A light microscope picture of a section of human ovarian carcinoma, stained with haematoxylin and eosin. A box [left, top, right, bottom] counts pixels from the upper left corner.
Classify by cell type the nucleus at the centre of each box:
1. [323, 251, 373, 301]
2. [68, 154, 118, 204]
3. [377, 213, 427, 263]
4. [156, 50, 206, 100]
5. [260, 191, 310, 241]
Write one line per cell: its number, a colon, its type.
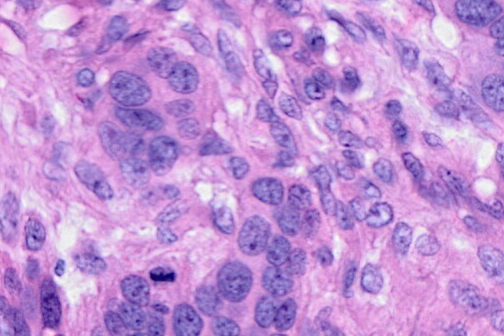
1: fibroblast
2: fibroblast
3: fibroblast
4: carcinoma cell
5: carcinoma cell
